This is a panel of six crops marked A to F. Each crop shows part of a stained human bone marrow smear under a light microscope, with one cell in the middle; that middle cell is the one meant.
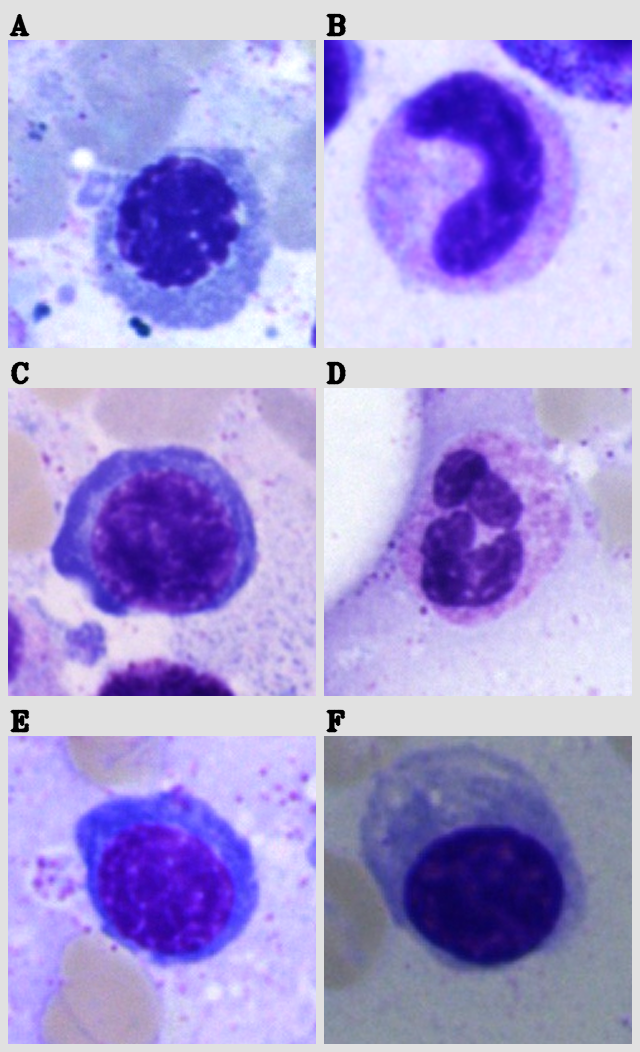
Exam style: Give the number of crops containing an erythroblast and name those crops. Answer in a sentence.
Well, four crops show erythroblasts, and those are A, C, E and F.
